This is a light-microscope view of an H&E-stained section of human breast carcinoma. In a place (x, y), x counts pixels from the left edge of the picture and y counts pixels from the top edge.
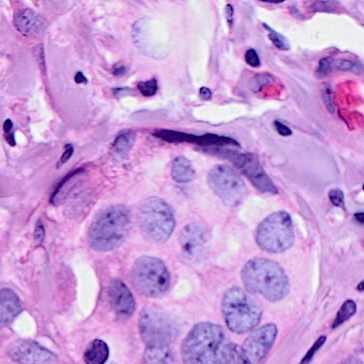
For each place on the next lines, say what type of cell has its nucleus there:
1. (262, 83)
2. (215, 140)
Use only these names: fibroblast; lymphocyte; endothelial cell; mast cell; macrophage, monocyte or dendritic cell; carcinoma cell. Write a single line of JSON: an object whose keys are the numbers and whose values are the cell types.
{"1": "endothelial cell", "2": "carcinoma cell"}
